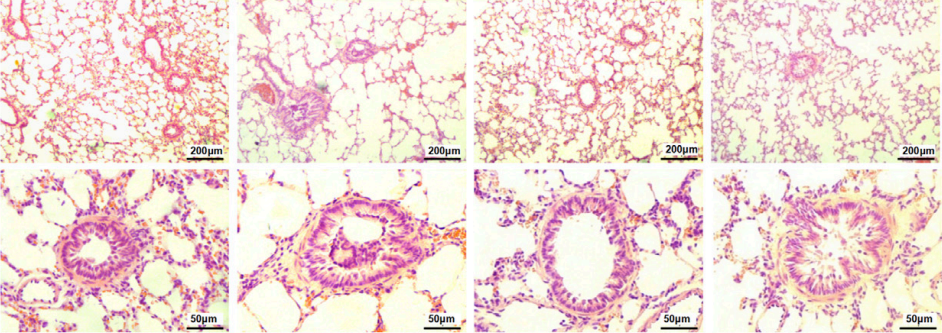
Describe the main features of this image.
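Lung parenchyma with small airways (bronchioles) amid alveoli, shown at low power above and high power below. Alveoli are thin-walled pink septa enclosing clear spaces. In several views the epithelium is thrown into folds that narrow the lumen. Alveolar spaces in some low-power views look enlarged, with thin septa.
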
